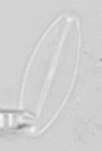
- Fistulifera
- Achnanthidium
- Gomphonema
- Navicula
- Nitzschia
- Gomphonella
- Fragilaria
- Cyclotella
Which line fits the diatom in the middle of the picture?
Fistulifera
